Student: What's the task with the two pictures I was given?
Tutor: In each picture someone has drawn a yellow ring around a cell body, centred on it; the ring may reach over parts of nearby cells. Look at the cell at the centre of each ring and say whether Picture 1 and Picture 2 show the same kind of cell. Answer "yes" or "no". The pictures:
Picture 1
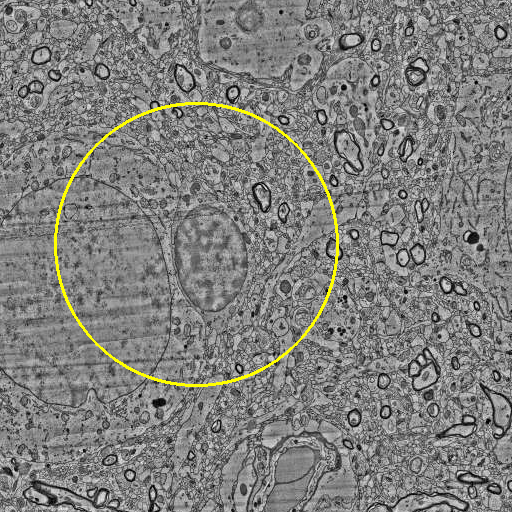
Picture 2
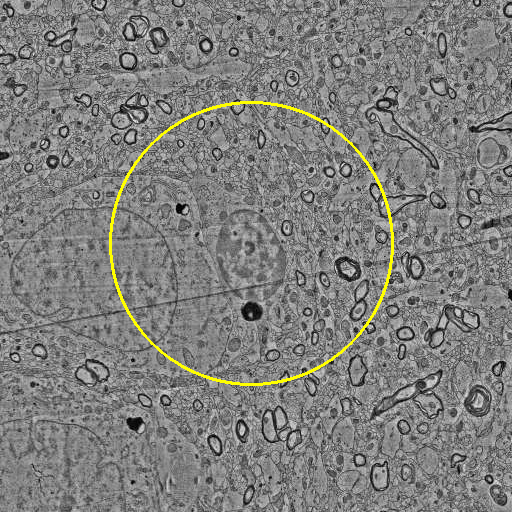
yes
